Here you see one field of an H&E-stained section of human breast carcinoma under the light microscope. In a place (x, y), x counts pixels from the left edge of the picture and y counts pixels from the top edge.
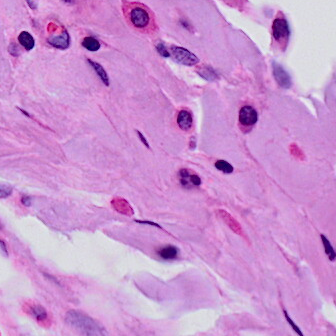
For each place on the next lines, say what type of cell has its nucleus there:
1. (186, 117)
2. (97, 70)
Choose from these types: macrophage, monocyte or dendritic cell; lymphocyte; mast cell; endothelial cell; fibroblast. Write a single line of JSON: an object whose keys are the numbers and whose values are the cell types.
{"1": "mast cell", "2": "fibroblast"}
